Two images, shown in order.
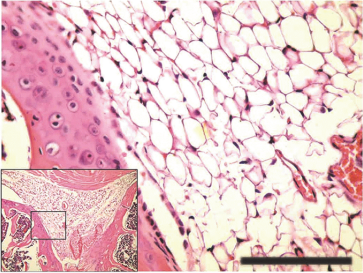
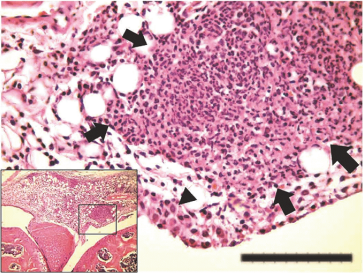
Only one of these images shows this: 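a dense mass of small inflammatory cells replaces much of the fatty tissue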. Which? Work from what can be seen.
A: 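The second image. First image: the tissue is mostly pale, empty-looking fat cells with thin pink walls and few nuclei. Second image: a large area is packed with small cells with dark purple nuclei, surrounding only scattered fat cells.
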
